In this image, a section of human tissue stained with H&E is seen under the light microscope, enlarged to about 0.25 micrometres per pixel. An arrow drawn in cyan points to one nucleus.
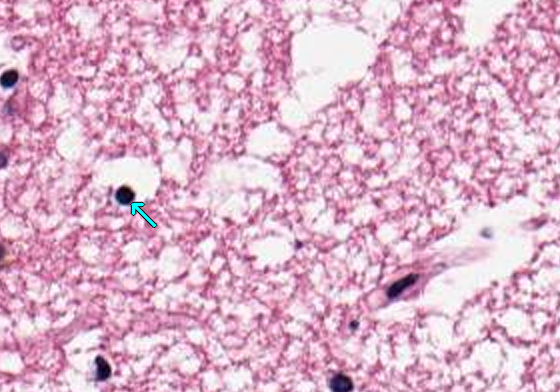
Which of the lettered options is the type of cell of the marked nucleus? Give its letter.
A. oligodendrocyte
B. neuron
A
